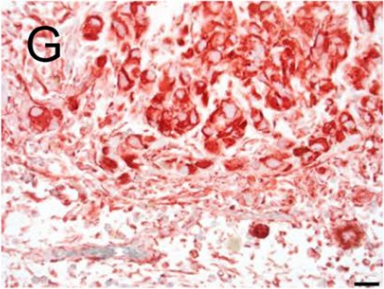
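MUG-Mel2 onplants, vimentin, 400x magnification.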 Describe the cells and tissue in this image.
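Here the tumor cells in the upper half are filled with strong red cytoplasmic stain, appearing as large rounded cells packed closely together with pale nuclei showing through. Below them the membrane tissue is more loosely arranged and stained in a paler, web-like red. A few isolated red-stained rounded cells sit in the lower part of the field.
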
